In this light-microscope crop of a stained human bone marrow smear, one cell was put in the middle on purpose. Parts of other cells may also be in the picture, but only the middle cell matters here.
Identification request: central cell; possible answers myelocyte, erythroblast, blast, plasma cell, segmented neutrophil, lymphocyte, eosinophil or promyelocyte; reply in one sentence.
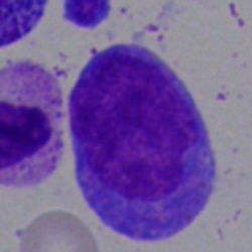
In the centre of this crop there is a promyelocyte.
